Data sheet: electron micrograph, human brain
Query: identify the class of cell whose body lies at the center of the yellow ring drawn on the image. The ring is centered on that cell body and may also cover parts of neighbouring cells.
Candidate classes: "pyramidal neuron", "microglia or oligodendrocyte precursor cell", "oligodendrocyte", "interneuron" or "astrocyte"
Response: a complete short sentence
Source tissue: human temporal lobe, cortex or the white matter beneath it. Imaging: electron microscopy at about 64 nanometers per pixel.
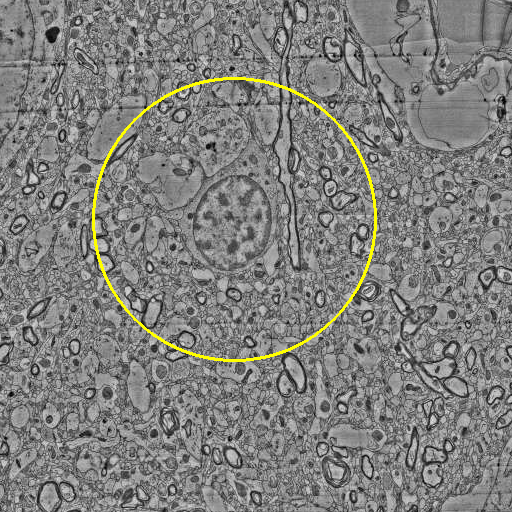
At the center of the ring lies an oligodendrocyte.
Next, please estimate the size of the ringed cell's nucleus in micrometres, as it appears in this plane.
In this plane, the nucleus of the cell at the centre of the ring measures about 6 by 5 micrometres.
